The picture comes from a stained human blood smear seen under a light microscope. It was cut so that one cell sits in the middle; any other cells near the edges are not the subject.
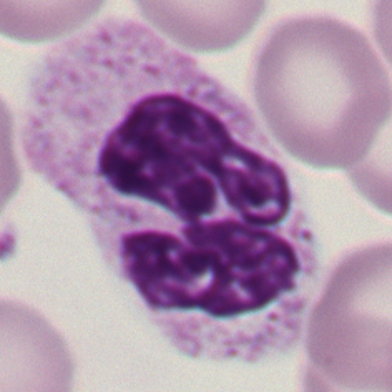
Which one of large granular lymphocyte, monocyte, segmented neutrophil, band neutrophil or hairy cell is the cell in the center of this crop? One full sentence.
By type, the central cell of the crop is a segmented neutrophil.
